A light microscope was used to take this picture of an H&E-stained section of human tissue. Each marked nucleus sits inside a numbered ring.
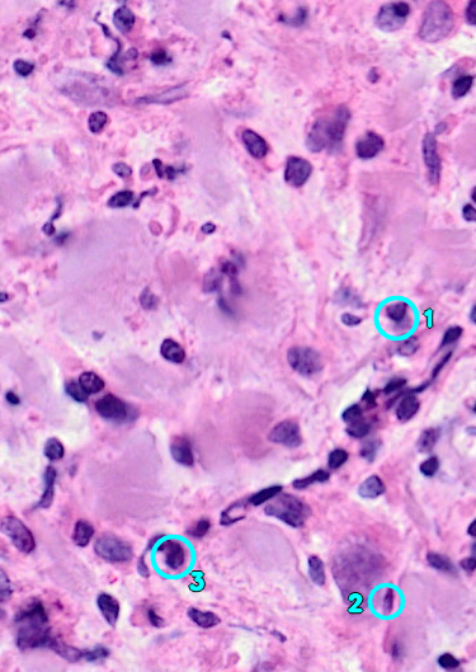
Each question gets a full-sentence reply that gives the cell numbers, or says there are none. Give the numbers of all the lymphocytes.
The cells whose numbers are 1 and 3 are lymphocytes.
